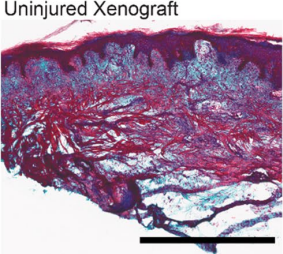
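This is a section of skin, showing a thin epidermis on top of a thick dermis. The epidermis forms a dark purple band with an undulating lower edge. The dermis below is filled with dense, coarse bundles of fibers stained red, interwoven with blue-stained fibers. Toward the bottom the tissue becomes looser, with blue strands and open spaces between the bundles.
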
